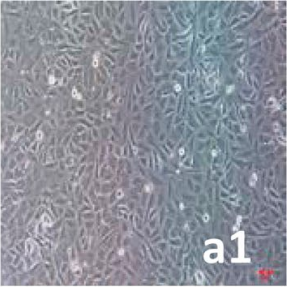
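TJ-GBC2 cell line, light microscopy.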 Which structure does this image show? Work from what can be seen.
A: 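Cells cover the dish as a single continuous flat layer. Cells lie closely side by side.
Conclusion: adherent monolayer sheet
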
